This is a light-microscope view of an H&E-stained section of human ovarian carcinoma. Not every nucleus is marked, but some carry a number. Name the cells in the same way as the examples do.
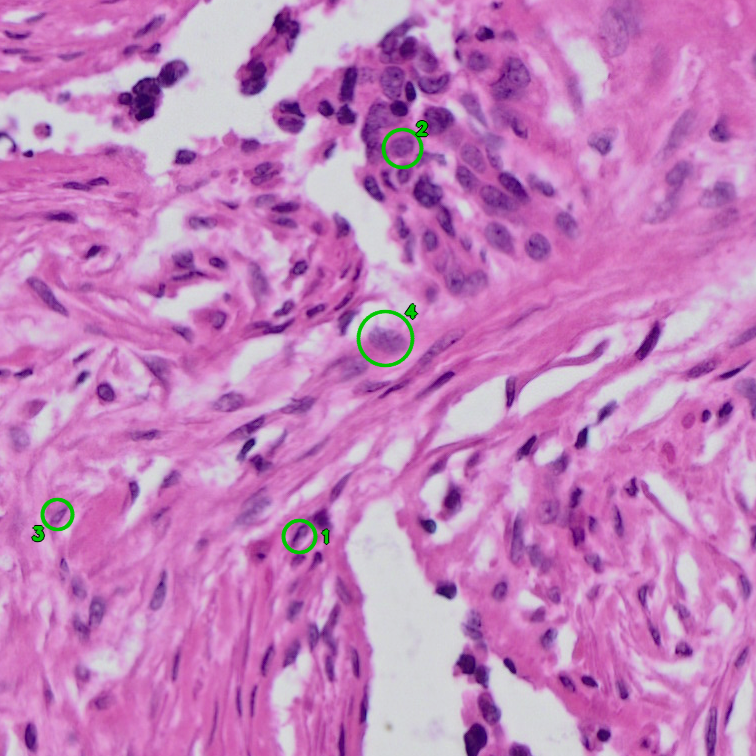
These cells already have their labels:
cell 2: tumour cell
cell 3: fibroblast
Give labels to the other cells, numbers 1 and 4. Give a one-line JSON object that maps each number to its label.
{"1": "fibroblast", "4": "fibroblast"}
